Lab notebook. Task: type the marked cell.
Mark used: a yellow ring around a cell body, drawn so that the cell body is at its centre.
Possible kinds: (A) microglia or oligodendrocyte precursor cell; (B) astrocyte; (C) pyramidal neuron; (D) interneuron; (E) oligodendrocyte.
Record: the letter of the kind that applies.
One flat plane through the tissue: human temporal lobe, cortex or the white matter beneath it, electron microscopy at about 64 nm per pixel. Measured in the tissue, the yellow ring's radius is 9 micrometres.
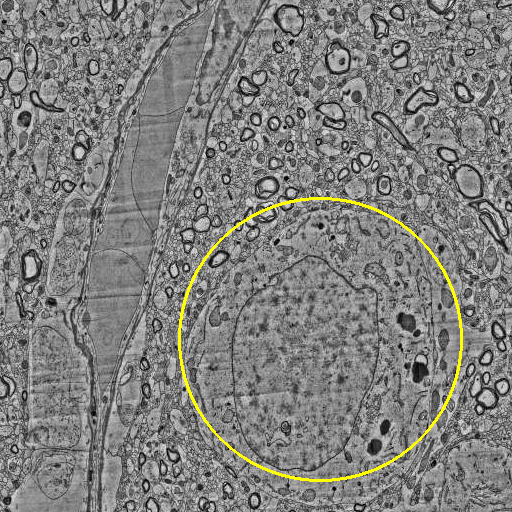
C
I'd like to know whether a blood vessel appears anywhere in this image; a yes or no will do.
Yes, the image shows a blood vessel.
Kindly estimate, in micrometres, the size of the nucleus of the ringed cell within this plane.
In this plane the nucleus is about 14 micrometres by 10.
